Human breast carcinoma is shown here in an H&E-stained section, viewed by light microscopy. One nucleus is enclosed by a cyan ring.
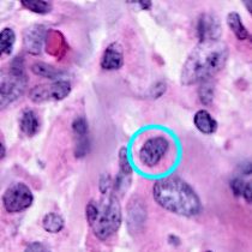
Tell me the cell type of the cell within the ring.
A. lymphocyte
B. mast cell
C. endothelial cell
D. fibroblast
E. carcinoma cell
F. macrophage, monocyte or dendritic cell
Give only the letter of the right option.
B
